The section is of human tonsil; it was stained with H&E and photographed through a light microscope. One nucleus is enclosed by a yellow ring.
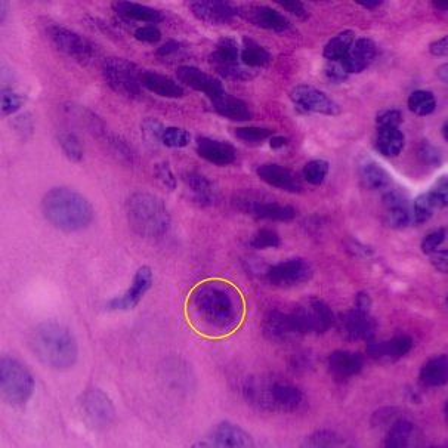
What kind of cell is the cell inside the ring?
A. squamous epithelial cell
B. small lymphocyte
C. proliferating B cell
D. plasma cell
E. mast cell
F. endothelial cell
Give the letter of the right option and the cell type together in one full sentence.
Option A is accurate, for the cell inside the ring is a squamous epithelial cell.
